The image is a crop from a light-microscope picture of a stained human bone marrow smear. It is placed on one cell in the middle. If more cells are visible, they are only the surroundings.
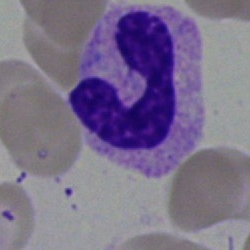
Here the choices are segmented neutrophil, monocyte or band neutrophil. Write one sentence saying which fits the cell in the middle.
Standing at the centre of this crop is a band neutrophil.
